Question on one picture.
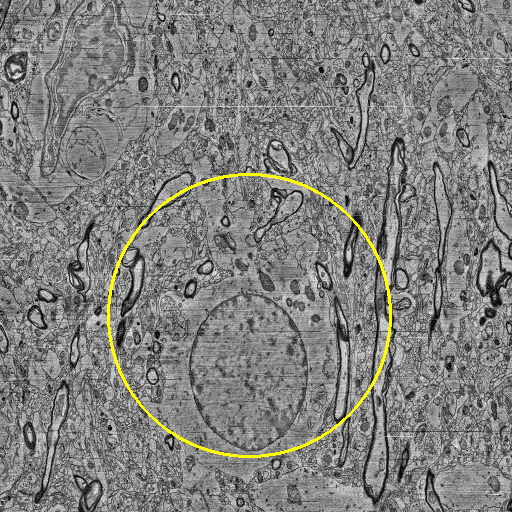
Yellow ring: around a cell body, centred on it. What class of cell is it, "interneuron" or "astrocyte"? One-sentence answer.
This is an astrocyte, the cell the ring is centred on.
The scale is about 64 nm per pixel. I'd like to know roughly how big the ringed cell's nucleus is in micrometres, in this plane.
The nucleus is approximately 11 micrometers long by 7 micrometers wide in this plane.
